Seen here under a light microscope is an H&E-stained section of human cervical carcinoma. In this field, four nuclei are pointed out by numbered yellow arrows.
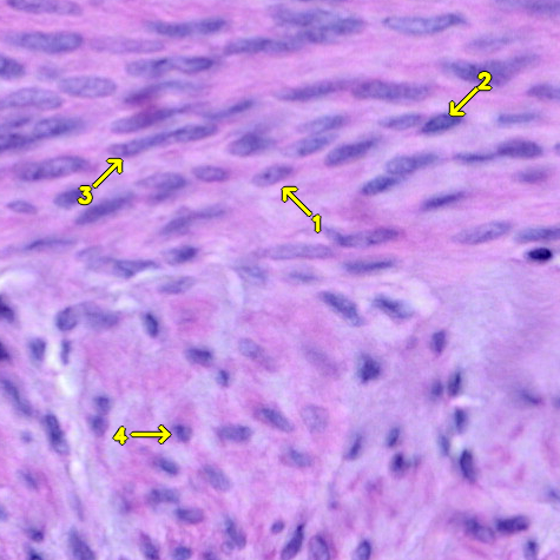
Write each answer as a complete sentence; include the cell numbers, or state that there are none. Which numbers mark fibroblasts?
None but cell 2 among the numbered cells is a fibroblast.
